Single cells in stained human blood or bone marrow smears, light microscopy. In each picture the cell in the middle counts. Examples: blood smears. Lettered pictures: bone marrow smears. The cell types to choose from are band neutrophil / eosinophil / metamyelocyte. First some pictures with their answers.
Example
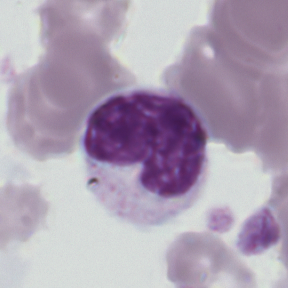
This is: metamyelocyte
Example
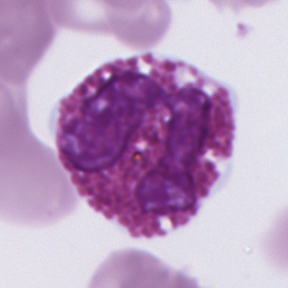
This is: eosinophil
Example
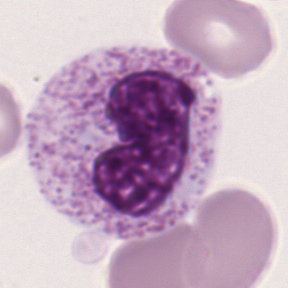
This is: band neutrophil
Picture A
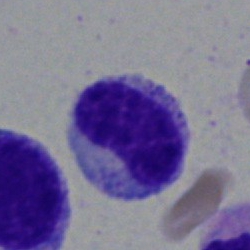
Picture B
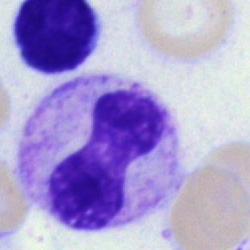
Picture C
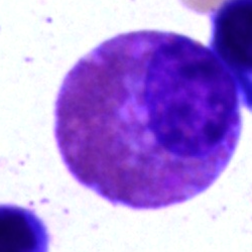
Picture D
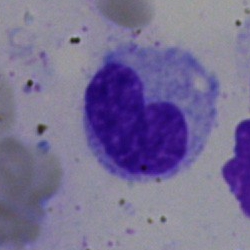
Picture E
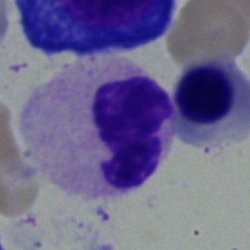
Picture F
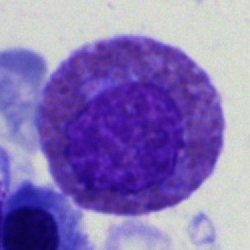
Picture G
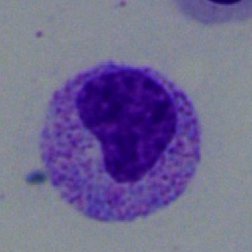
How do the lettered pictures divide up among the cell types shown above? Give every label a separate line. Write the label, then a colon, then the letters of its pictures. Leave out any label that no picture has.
band neutrophil: B, E
eosinophil: C, F
metamyelocyte: A, D, G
